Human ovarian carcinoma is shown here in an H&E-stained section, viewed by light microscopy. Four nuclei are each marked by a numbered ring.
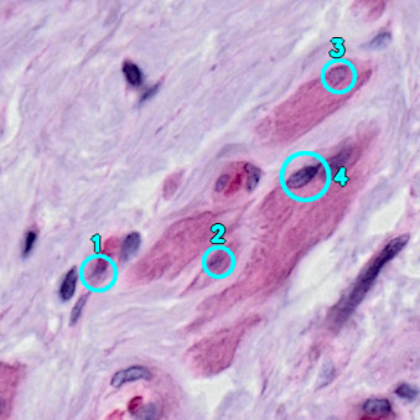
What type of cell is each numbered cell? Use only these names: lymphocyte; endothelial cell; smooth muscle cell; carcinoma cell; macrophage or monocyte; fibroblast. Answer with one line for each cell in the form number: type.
1: endothelial cell
2: smooth muscle cell
3: smooth muscle cell
4: smooth muscle cell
